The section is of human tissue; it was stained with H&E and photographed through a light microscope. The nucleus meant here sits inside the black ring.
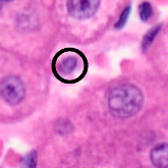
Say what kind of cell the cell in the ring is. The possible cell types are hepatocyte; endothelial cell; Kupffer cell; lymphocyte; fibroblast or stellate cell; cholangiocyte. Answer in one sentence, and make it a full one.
The correct response here is that the cell in the ring is a Kupffer cell.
